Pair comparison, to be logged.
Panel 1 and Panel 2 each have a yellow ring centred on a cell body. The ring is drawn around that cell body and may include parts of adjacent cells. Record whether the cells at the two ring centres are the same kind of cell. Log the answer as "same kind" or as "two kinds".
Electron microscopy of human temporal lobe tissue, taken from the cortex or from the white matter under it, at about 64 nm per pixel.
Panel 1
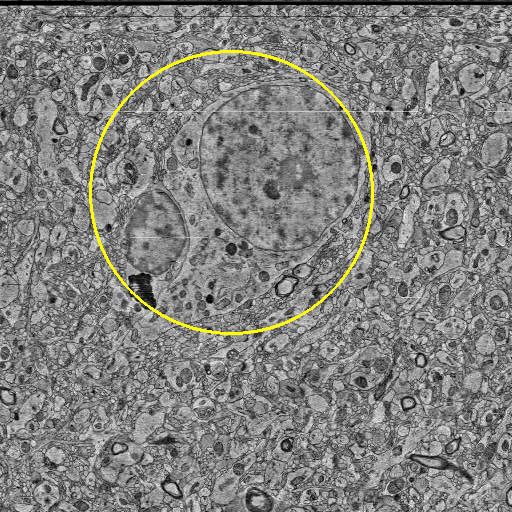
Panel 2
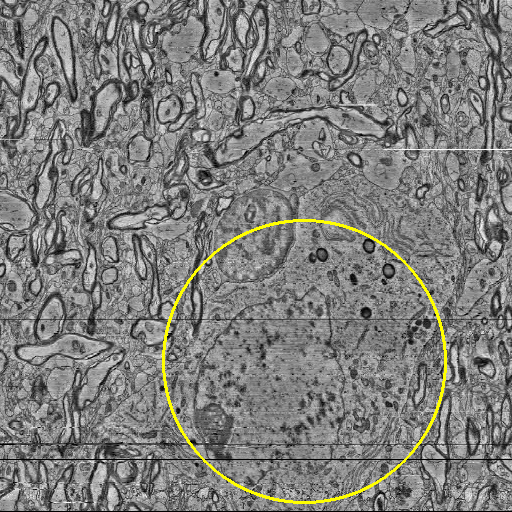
same kind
